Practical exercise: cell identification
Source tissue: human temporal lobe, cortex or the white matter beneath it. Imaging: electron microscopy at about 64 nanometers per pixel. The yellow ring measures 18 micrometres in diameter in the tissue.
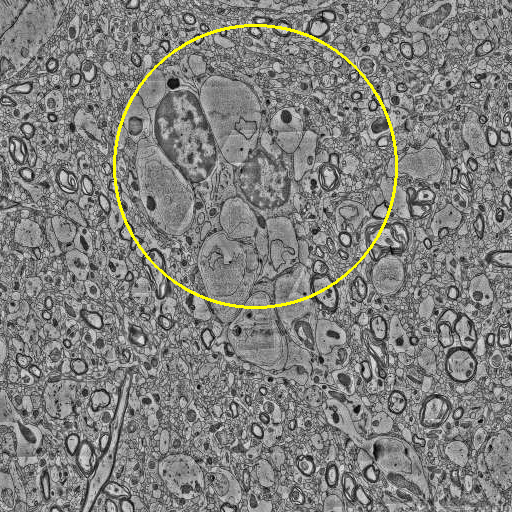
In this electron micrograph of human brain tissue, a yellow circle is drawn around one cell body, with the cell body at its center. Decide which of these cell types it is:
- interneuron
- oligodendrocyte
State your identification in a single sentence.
The ringed cell is an oligodendrocyte.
